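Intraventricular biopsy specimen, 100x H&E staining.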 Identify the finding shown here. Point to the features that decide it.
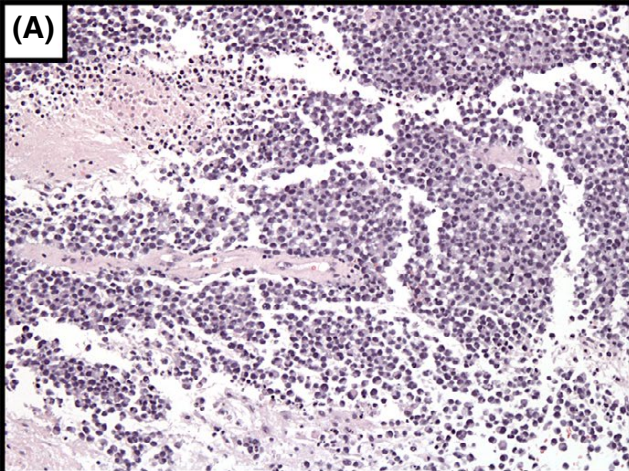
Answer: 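Sheets of round cells fall apart into loose clusters separated by empty clefts. Many single cells lie detached at the edges of the clusters. No brown pigment is seen in the cells.
Answer: discohesive malignant cells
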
